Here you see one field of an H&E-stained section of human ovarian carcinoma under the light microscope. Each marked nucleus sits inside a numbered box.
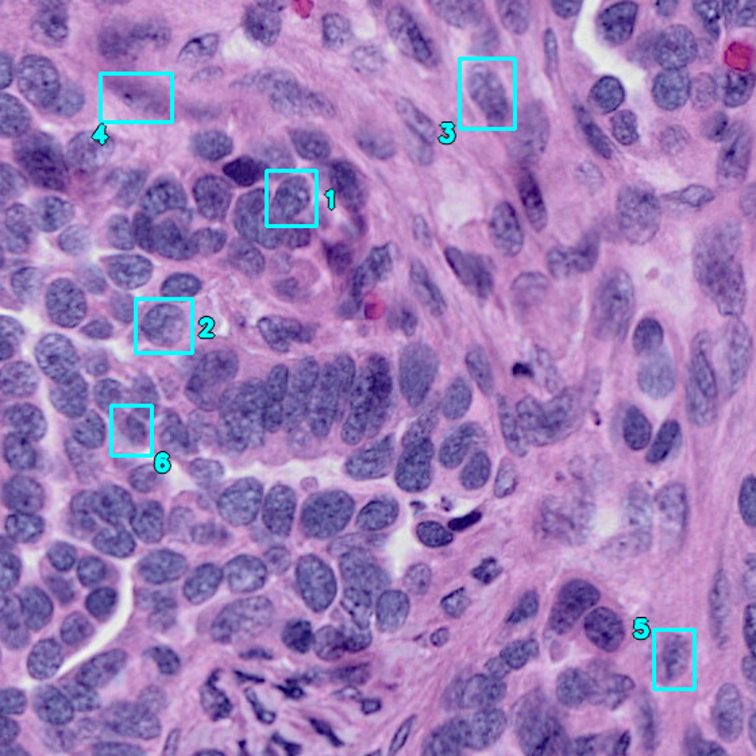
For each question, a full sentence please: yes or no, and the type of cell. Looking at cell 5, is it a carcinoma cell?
No, it's not a carcinoma cell at number 5; that cell is a fibroblast.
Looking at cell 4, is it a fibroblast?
Yes, the one numbered 4 is a fibroblast.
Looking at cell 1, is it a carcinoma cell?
Yes, the cell pointed out as number 1 is a carcinoma cell.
